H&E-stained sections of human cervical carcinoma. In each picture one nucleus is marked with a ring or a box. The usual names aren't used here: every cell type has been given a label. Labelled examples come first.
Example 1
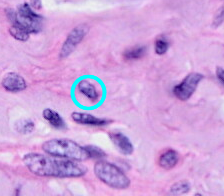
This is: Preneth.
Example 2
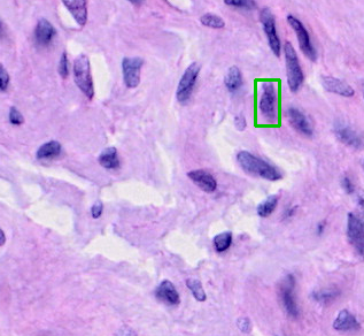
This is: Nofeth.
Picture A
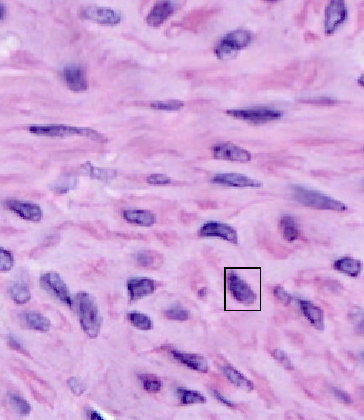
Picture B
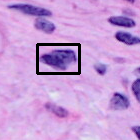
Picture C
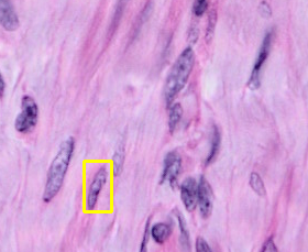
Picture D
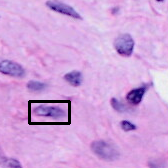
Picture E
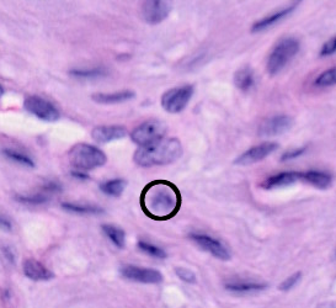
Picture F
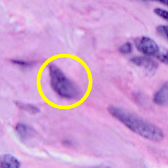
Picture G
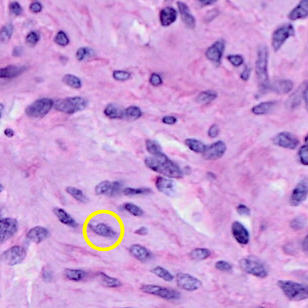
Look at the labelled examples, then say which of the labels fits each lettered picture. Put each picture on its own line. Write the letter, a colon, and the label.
A: Preneth.
B: Nofeth.
C: Preneth.
D: Preneth.
E: Nofeth.
F: Nofeth.
G: Preneth.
